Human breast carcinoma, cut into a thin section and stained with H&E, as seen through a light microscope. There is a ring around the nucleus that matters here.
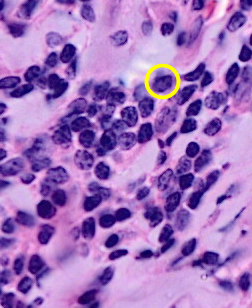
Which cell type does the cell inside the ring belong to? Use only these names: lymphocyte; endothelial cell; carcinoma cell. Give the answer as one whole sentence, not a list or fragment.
In the tissue under study, the cell inside the ring is a lymphocyte.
